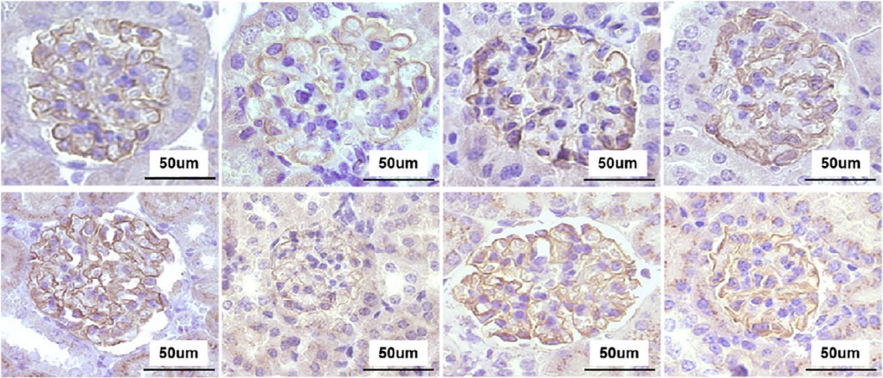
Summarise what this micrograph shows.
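These are sections of renal cortex, each image centred on a single glomerulus surrounded by tubules. Blue, round to oval nuclei are scattered through the glomerular tuft and in the epithelium of the surrounding tubules. The tubules show only faint, granular brown background. The intensity and continuity of the brown lining vary between glomeruli, with some tufts showing only a pale, interrupted outline of the loops.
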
